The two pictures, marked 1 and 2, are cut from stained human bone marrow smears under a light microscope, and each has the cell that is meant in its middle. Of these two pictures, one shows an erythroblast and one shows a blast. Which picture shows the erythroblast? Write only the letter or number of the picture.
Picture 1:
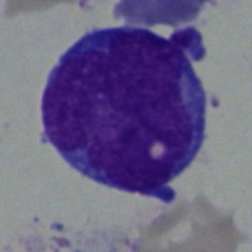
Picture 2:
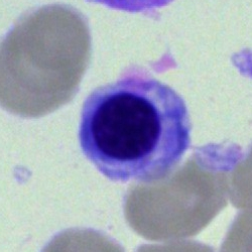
2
